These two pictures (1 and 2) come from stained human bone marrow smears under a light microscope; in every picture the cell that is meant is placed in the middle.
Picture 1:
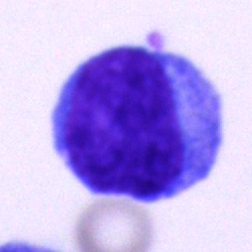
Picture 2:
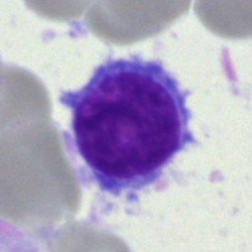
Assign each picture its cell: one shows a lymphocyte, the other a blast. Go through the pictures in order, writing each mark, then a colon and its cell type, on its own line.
1: blast
2: lymphocyte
